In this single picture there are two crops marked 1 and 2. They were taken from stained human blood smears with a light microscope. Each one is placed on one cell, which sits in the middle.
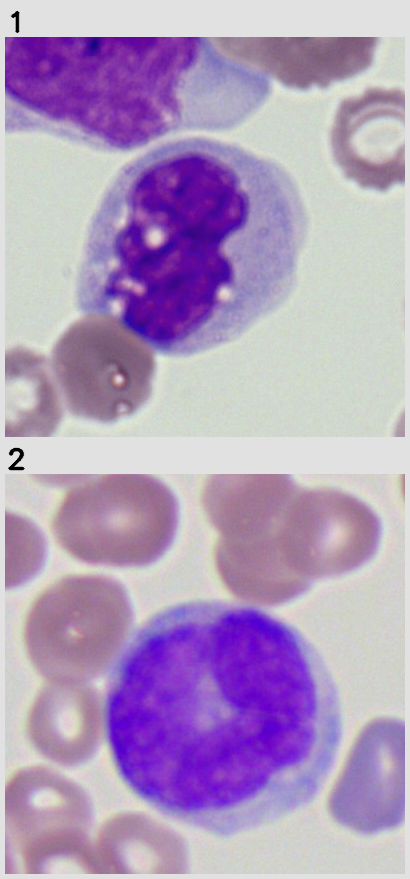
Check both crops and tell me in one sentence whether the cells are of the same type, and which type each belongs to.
Yes, the middle cells in the two crops are monocytes.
